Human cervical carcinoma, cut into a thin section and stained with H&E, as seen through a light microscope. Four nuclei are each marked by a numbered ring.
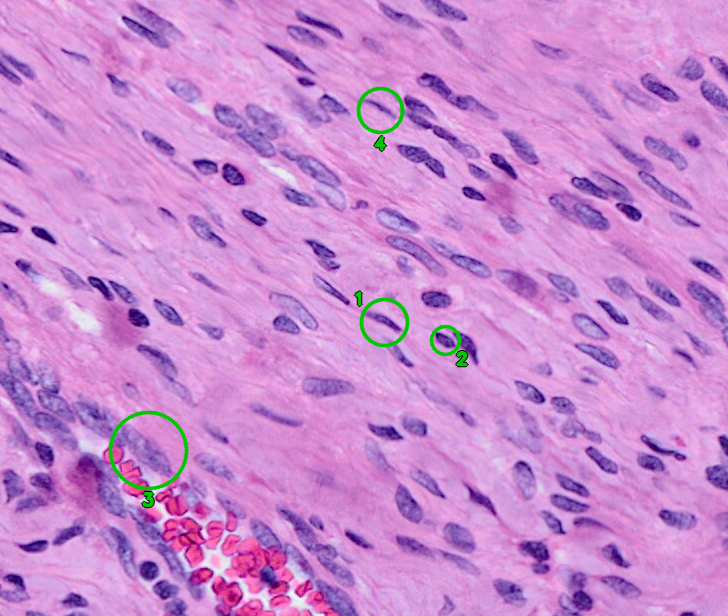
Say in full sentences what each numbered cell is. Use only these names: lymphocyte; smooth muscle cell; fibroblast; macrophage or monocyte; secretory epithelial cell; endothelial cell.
Cells 1, 2 and 4 are fibroblasts. Cell 3 is an endothelial cell.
